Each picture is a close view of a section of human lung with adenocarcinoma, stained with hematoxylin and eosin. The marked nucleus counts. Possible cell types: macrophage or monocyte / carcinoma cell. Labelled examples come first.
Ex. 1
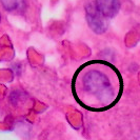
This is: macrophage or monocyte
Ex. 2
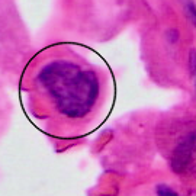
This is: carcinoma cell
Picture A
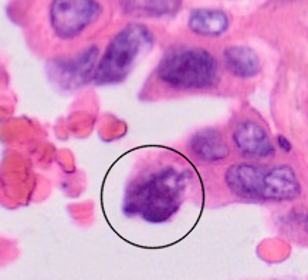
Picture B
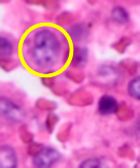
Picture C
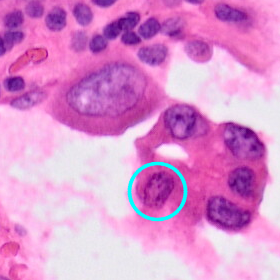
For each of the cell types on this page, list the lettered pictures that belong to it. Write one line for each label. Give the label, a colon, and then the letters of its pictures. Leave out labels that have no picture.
macrophage or monocyte: B
carcinoma cell: A, C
